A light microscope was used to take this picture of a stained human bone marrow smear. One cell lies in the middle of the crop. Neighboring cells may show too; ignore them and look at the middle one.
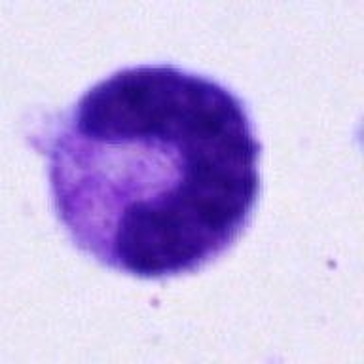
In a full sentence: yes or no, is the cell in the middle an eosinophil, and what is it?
No, the cell in the middle is correctly named a band neutrophil, not an eosinophil.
